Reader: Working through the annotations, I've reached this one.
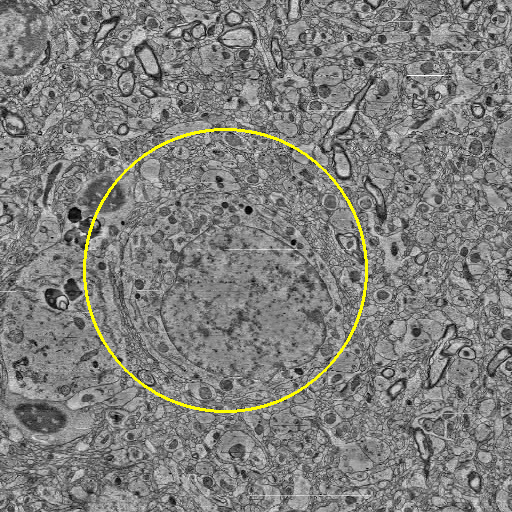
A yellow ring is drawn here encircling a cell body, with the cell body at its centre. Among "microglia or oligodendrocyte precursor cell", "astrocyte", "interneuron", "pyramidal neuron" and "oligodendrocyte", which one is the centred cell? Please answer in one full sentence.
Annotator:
The cell body at the centre of the yellow ring in this image belongs to an interneuron.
